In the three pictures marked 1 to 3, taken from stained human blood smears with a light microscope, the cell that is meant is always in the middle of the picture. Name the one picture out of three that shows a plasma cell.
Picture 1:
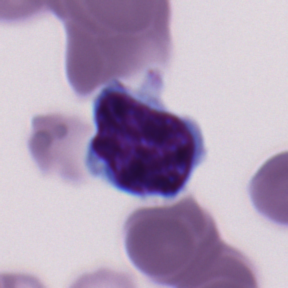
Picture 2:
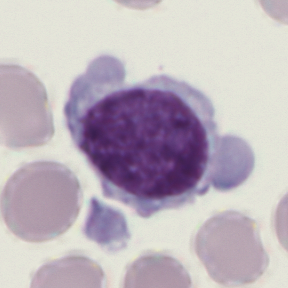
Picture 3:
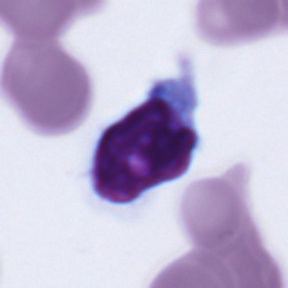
2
